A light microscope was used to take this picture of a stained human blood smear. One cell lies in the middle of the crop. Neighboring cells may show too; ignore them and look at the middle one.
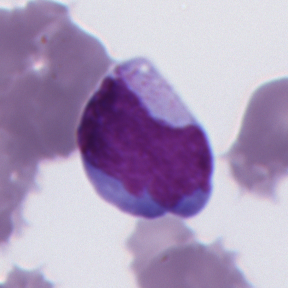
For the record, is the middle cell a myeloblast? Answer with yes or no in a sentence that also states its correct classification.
Yes, the cell at the middle is a myeloblast.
